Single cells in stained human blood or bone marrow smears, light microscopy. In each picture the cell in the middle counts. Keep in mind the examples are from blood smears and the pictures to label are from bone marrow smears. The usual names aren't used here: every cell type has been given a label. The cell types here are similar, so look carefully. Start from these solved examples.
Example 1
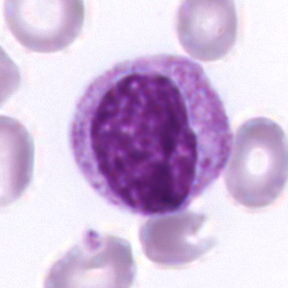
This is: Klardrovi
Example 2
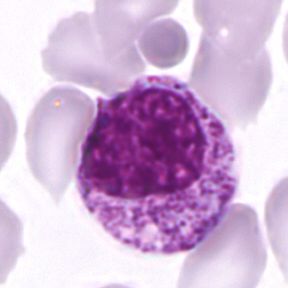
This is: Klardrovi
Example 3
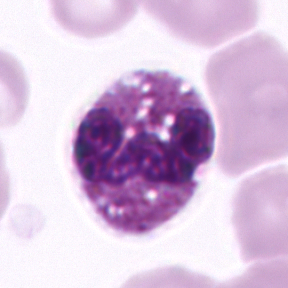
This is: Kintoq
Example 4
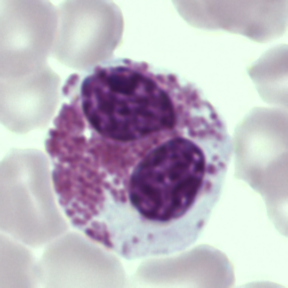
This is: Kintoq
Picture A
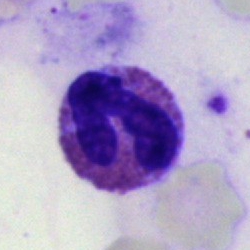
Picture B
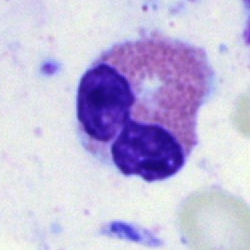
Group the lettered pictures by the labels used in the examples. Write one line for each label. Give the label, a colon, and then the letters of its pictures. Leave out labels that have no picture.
Kintoq: A, B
